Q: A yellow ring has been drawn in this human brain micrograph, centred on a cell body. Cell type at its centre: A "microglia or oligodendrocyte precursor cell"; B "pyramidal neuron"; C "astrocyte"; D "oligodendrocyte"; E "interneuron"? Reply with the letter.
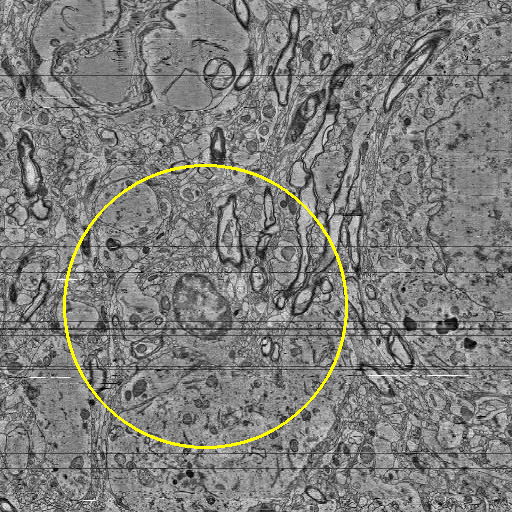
D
